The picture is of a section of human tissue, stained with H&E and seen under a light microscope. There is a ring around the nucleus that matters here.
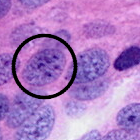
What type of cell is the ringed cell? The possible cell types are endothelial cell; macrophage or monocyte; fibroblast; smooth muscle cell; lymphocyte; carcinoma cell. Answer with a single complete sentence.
Labelled by cell type, the ringed cell is a carcinoma cell.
